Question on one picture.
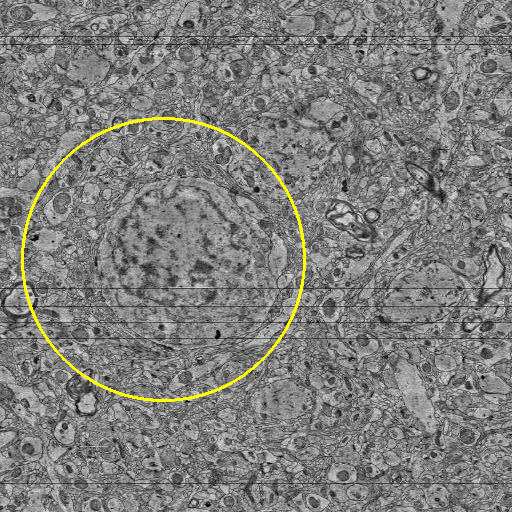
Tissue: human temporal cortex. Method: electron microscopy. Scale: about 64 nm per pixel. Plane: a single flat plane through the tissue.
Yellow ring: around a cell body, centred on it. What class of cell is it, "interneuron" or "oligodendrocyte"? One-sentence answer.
This is an interneuron, the cell the ring is centred on.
